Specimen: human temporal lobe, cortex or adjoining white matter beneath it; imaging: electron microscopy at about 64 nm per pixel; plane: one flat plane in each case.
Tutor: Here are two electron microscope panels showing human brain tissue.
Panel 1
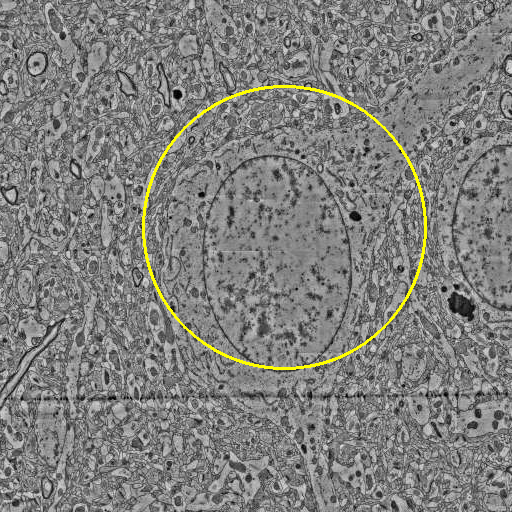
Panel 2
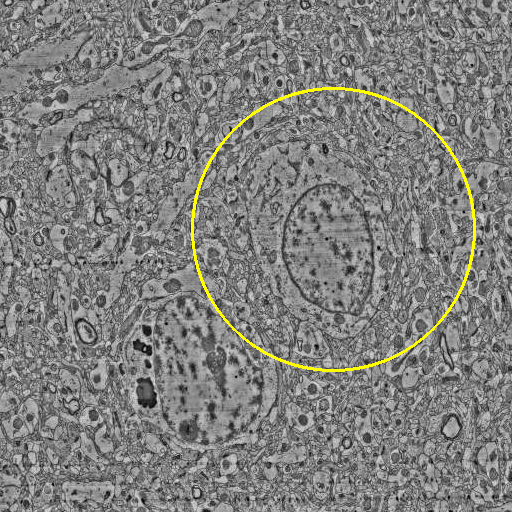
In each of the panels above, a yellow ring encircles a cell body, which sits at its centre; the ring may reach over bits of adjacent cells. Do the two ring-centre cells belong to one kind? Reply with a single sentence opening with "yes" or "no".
Yes, the two cells sitting at the ring centres in the panels belong to one kind.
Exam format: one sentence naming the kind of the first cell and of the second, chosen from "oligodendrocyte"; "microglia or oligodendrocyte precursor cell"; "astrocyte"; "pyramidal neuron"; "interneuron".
The ring centre holds a pyramidal neuron in each of the two pictures.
